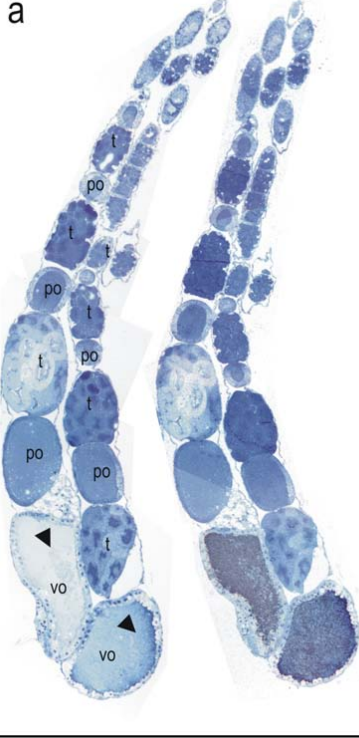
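Two long sections of an ovary side by side, each made of paired tubular strings stained blue, narrow at the top and widening toward the bottom. Along each string, lobulated clusters of small dark cells alternate with single rounded oocytes, and both grow larger toward the lower end. Some of the larger clusters have a pale centre. The lowest oocytes are big and irregular in outline. In the left-hand section they are pale. In the right-hand section the corresponding oocytes are filled with a dark grey to blackish stain, while the cell clusters above stay blue.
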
